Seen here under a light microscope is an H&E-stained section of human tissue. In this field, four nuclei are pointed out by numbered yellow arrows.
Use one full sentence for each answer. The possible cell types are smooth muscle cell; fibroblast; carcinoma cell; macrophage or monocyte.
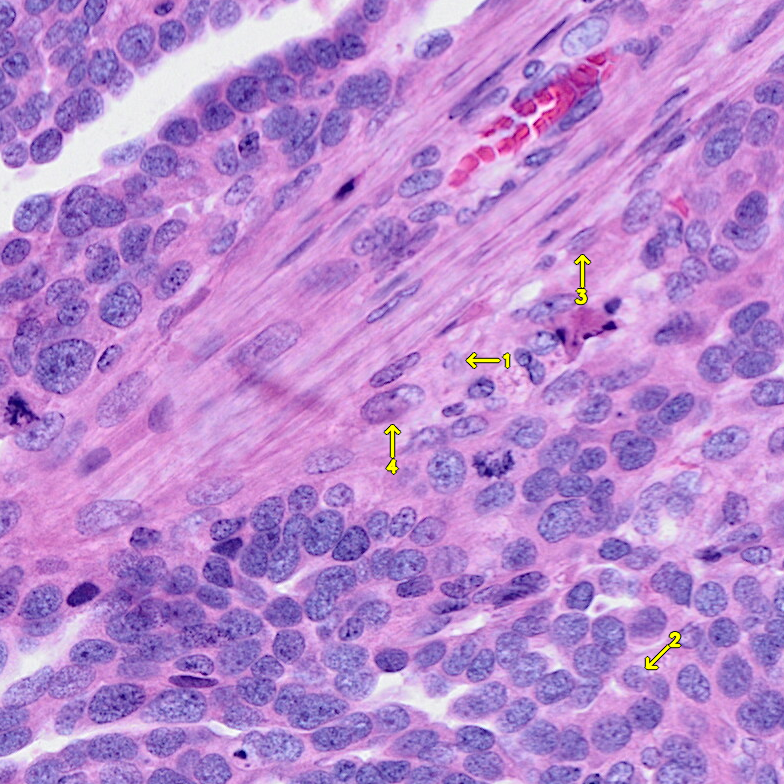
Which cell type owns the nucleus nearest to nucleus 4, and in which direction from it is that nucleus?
The nearest nucleus is that of a macrophage or monocyte and lies above nucleus 4.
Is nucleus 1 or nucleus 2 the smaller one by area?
Nucleus 1 is the smaller one; nucleus 2 covers about 1.5 times its area.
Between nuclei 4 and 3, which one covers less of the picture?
Nucleus 3 covers less area, with nucleus 4 about 3 times as large.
